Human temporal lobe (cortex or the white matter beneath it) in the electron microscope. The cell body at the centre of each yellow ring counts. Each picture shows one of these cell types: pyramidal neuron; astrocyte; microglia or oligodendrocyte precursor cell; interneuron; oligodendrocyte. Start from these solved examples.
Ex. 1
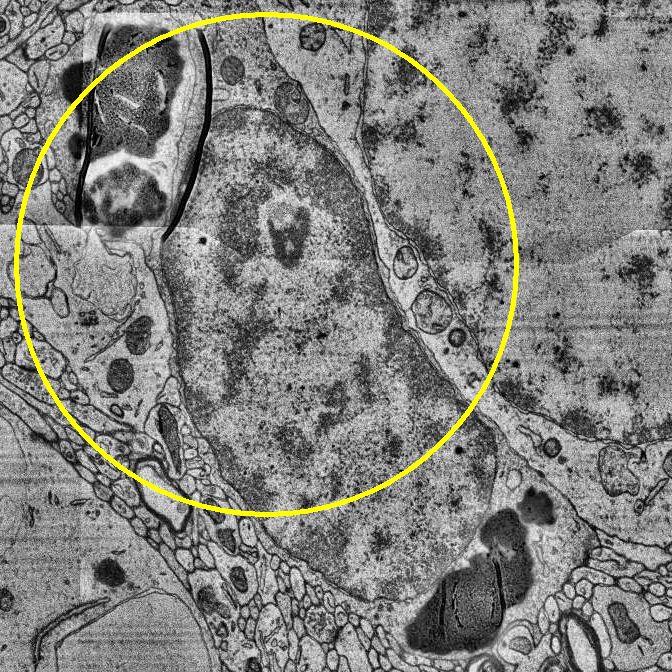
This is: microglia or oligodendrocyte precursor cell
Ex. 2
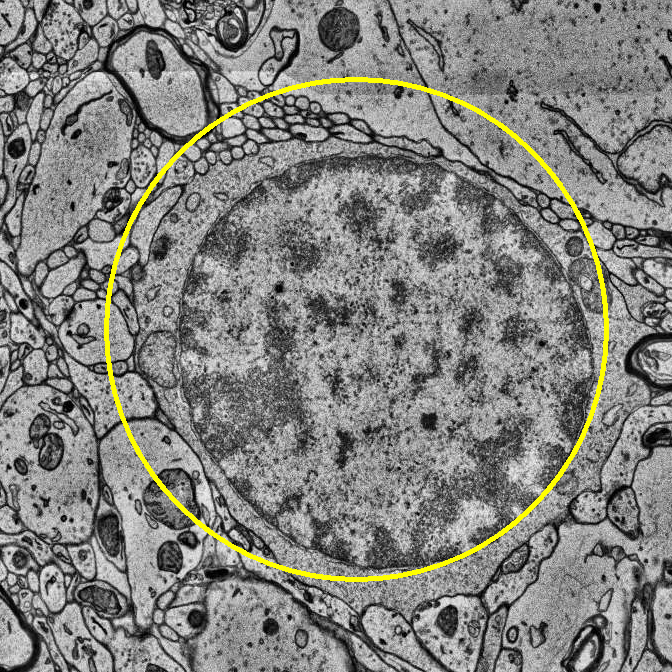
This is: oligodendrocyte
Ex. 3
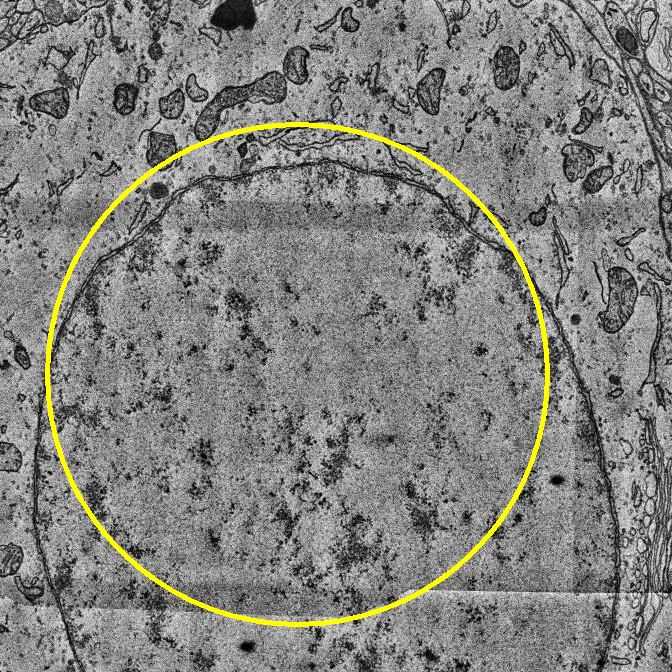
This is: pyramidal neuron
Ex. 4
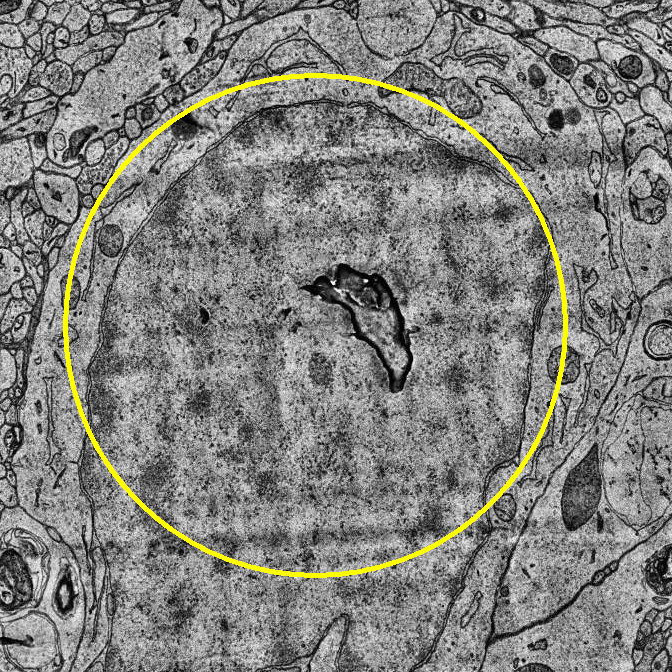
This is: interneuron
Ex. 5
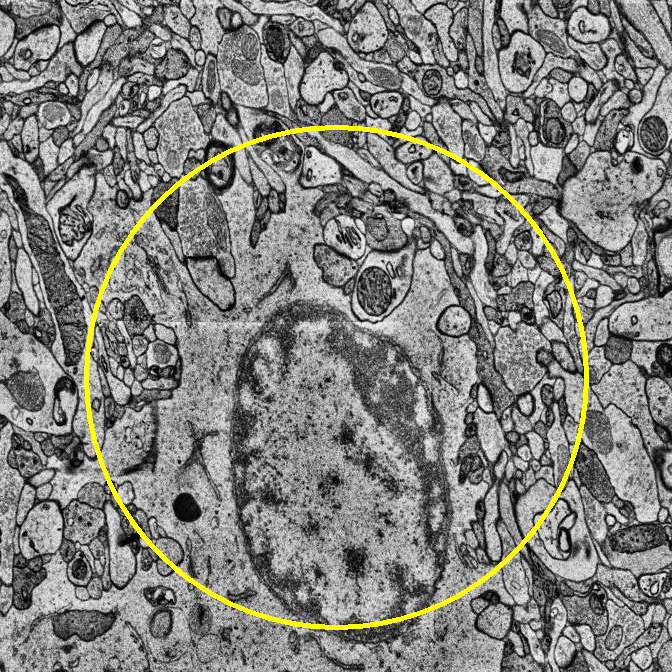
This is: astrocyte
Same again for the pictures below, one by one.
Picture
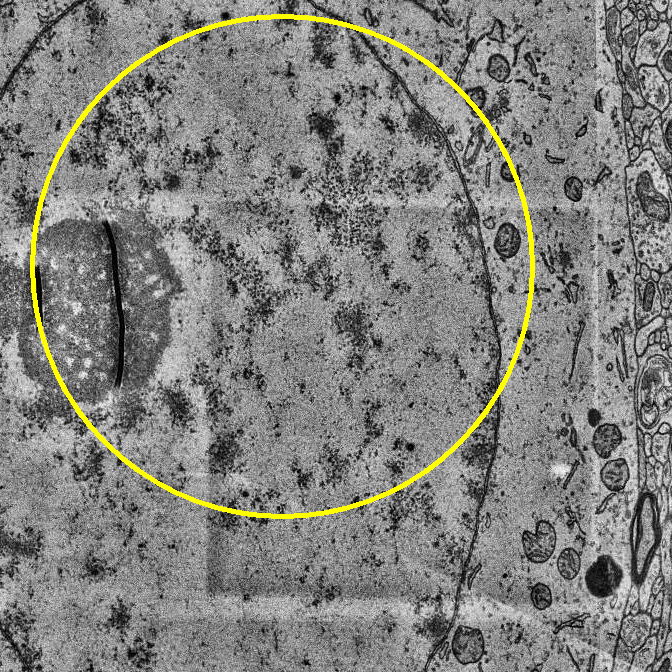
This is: pyramidal neuron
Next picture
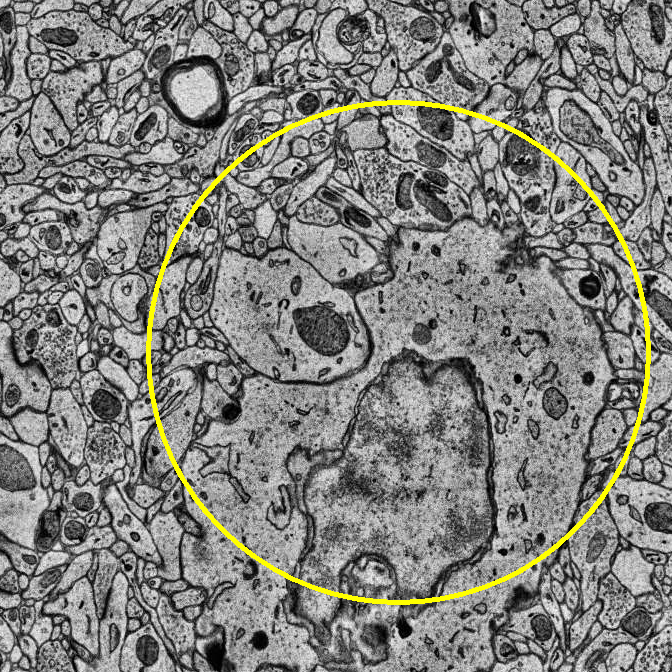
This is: interneuron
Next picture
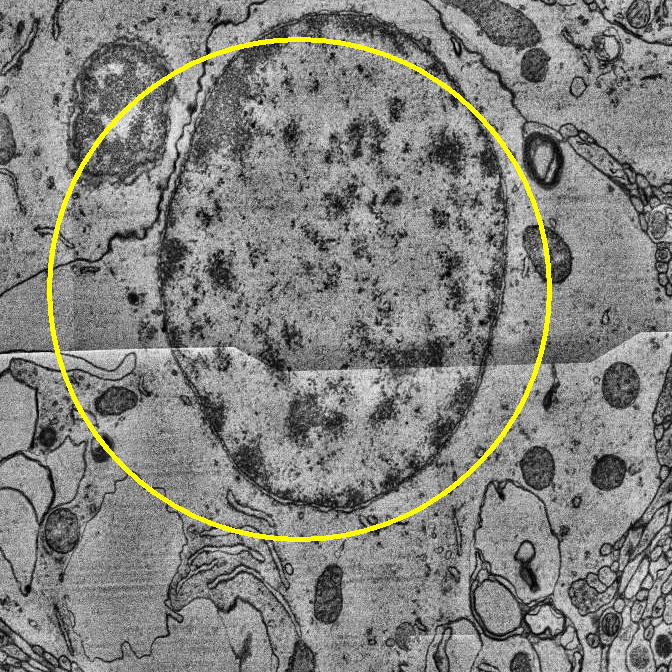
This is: astrocyte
